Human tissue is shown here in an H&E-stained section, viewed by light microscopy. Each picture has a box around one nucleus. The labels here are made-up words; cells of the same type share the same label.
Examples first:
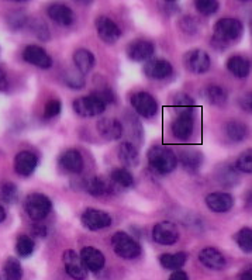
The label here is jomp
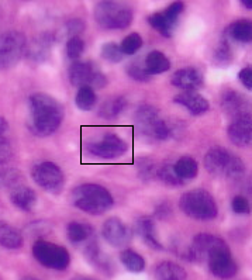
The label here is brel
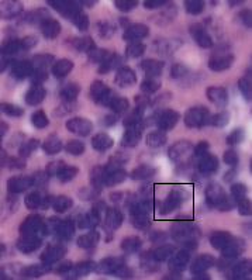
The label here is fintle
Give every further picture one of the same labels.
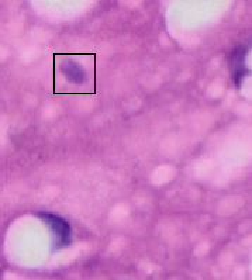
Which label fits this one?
brel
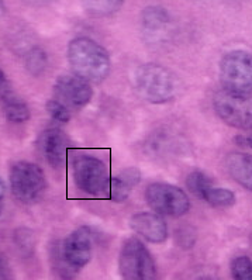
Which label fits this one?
brel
